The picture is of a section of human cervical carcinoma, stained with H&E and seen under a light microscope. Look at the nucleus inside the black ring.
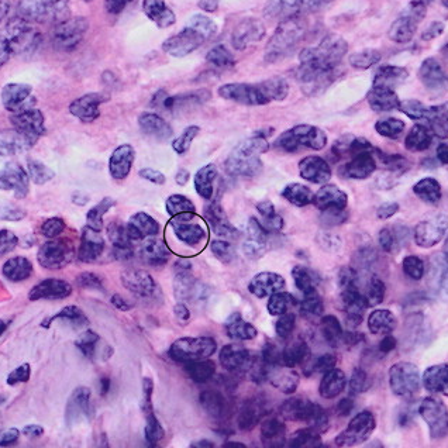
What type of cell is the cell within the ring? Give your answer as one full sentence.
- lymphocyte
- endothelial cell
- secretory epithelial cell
Just put down that the cell within the ring is a lymphocyte.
